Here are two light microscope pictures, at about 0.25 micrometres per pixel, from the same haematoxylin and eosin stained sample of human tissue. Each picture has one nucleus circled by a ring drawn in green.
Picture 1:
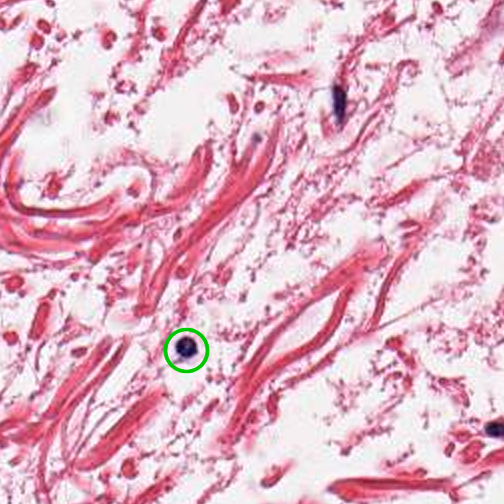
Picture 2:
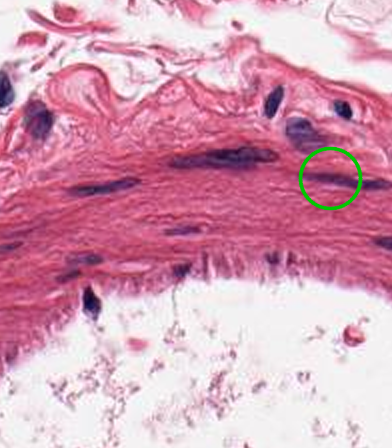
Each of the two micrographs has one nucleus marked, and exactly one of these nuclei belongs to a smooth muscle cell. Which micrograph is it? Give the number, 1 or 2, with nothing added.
2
